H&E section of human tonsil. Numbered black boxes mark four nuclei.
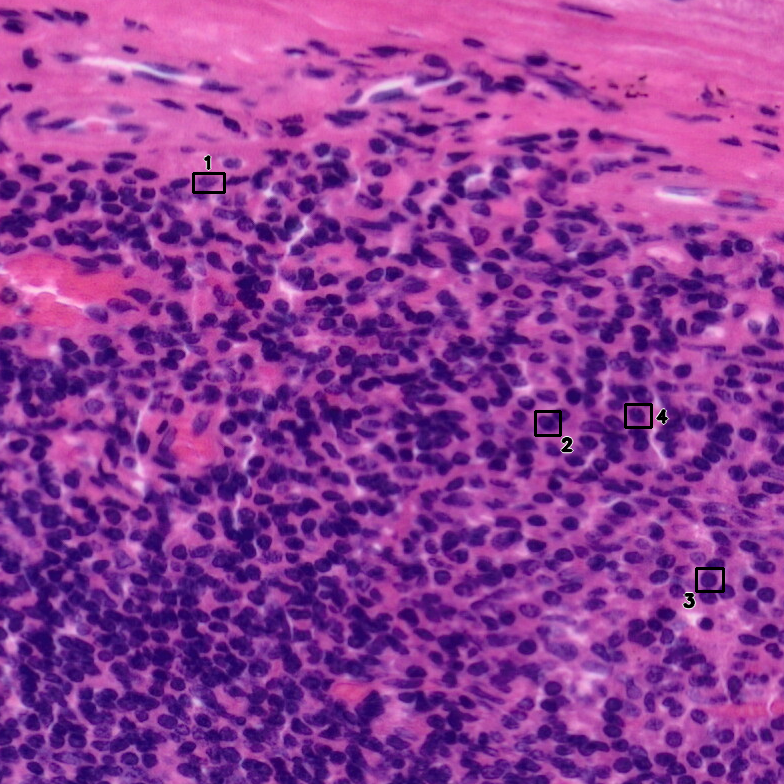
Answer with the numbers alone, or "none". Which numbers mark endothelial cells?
1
